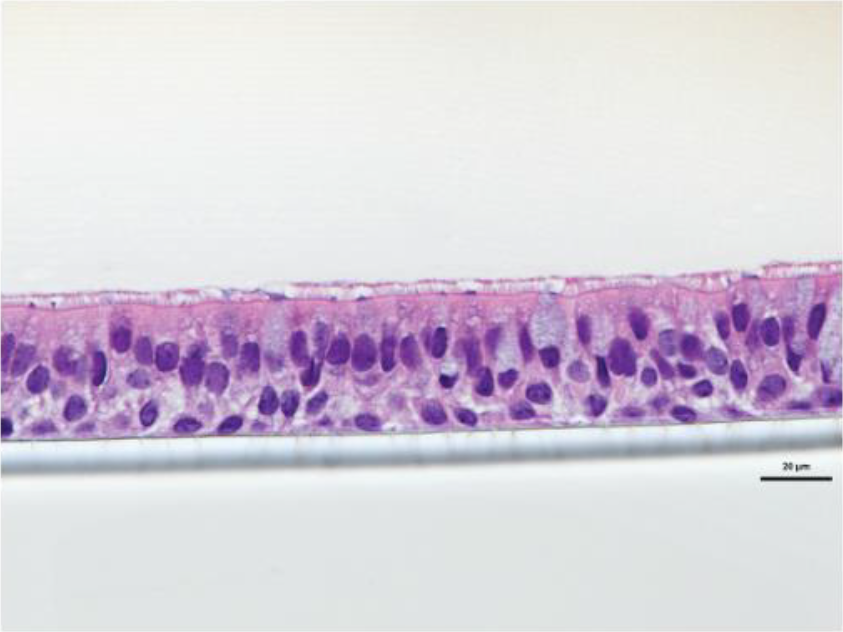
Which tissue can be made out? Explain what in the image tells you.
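A single sheet of cells rests on a thin flat support. Nuclei lie at several different heights through the layer. Tall cells reach the apical surface, which carries a fringe of fine projections. That points to this answer: pseudostratified epithelium.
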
